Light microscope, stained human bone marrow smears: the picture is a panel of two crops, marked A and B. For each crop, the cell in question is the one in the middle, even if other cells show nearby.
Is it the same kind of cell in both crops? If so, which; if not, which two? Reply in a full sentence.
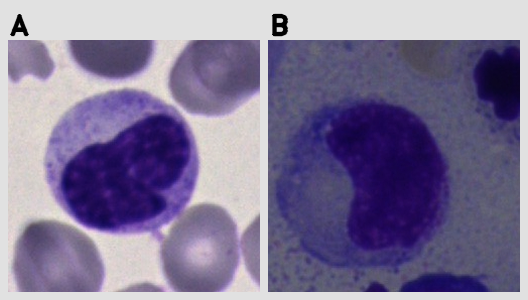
Yes, both crops show metamyelocytes, each crop centred on one of them.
